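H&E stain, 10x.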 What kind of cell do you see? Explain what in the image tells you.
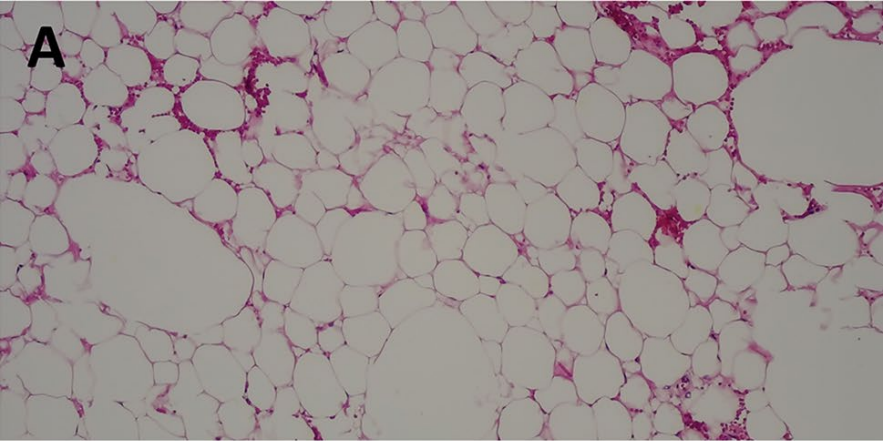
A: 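Mature adipocytes. Closely packed round to polygonal cells with large clear empty-looking cytoplasm. Thin pink membranes separate the cells. The cells vary in size, some very large.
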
